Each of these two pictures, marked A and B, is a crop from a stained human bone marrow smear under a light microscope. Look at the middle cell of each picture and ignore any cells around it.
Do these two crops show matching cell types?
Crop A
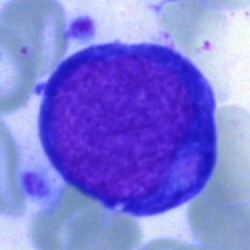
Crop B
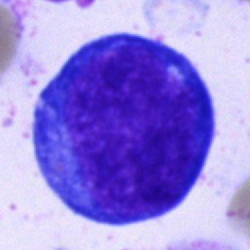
yes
